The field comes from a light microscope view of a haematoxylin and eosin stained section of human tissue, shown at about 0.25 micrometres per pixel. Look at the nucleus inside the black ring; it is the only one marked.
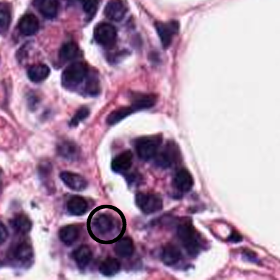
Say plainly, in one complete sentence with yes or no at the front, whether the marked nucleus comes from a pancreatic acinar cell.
Yes, the cell that houses the marked nucleus is a pancreatic acinar cell.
